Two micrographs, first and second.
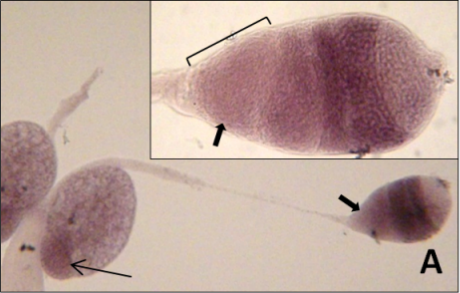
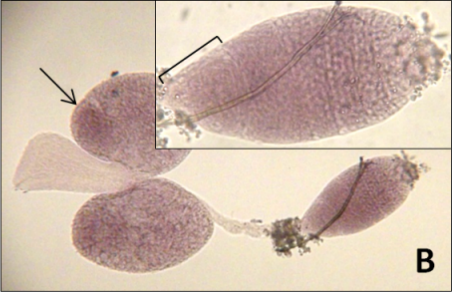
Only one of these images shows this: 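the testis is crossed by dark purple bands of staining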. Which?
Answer: the first image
